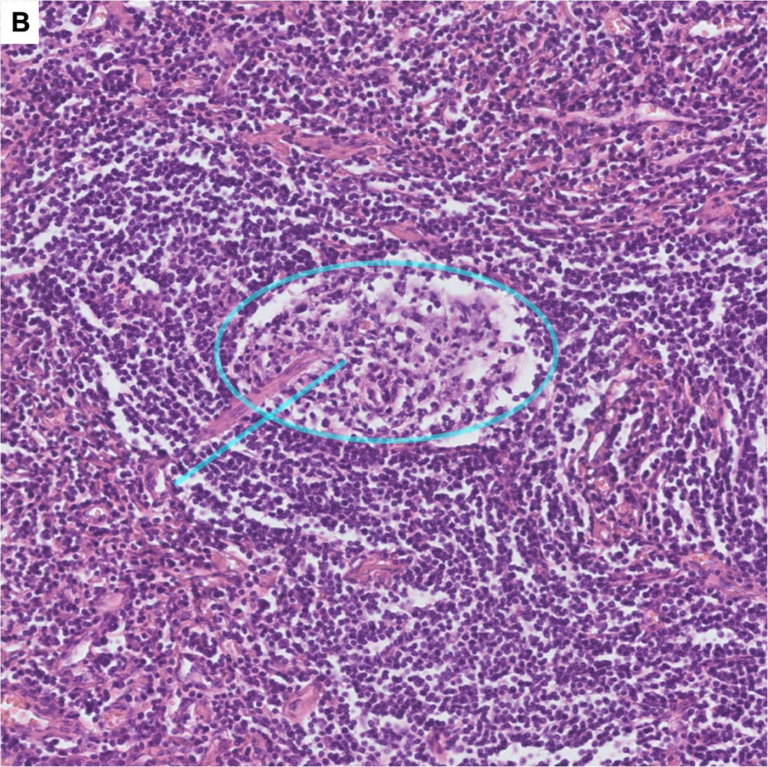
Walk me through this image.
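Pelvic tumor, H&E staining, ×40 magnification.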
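A single lymphoid follicle is shown, with a small pale germinal center made of loosely arranged cells with paler, oval nuclei and pink cytoplasm. Around it, small round lymphocytes with dark, dense nuclei are packed in concentric layers that wrap the center. A thin, pink, glassy hyalinized vessel runs obliquely from the surrounding tissue into the germinal center, giving a lollipop-like look. Between follicles, many small vessels with pink walls lie among the lymphocytes.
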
